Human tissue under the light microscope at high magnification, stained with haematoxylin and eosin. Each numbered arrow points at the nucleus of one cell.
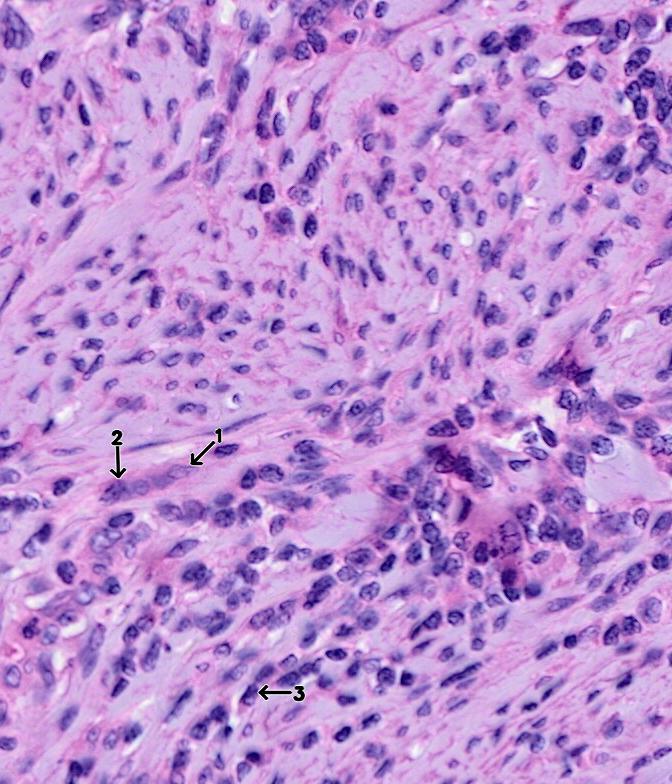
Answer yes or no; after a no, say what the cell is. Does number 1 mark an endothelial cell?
Yes.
